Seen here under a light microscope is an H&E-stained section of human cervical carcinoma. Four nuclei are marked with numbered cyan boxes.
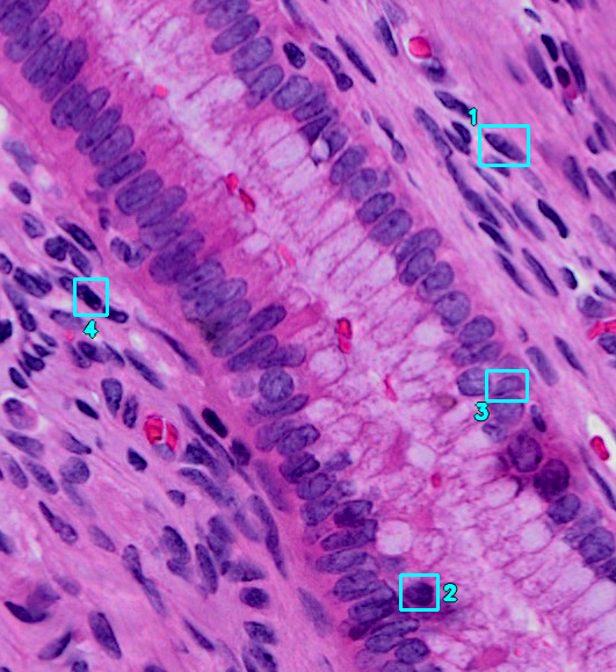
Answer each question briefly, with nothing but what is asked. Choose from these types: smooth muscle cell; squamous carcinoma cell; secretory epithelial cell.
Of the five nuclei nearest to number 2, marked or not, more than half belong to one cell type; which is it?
secretory epithelial cell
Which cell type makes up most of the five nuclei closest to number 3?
secretory epithelial cell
